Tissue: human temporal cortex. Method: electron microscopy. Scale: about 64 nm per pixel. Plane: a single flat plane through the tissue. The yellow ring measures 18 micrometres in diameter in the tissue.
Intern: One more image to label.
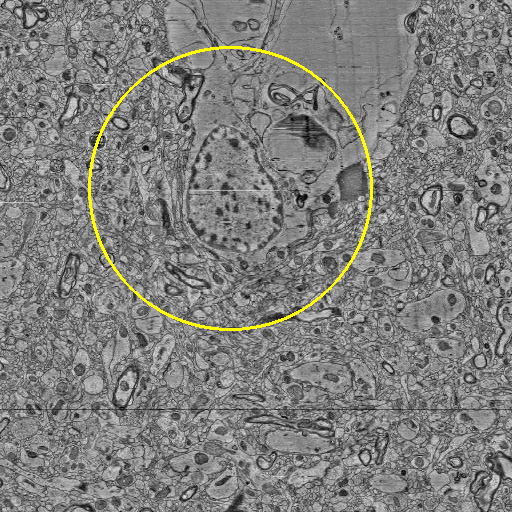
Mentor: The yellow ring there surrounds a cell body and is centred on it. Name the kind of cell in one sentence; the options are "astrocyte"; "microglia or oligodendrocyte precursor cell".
The ring marks the cell body of an astrocyte.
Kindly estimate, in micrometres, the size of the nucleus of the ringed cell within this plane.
Approximately 9 x 6 micrometres in this plane.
